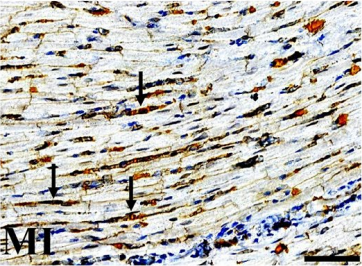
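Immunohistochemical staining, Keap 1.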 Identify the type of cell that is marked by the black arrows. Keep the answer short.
Cardiomyocytes.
